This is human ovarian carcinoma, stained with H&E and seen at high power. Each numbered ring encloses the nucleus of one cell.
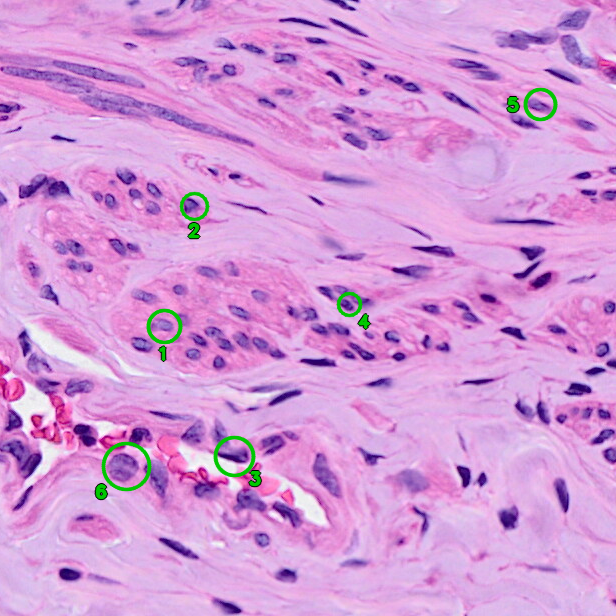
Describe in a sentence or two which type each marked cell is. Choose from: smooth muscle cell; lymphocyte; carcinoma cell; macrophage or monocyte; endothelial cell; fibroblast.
Cell 1 is a smooth muscle cell, cell 2 is a smooth muscle cell, cell 3 is an endothelial cell, cell 4 is a smooth muscle cell, cell 5 is a smooth muscle cell and cell 6 is an endothelial cell.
